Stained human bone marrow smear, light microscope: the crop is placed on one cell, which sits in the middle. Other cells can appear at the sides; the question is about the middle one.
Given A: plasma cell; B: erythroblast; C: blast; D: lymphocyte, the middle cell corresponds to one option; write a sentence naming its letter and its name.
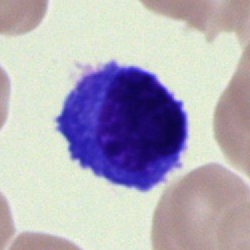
Option A is right, the centrally situated cell being a plasma cell.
